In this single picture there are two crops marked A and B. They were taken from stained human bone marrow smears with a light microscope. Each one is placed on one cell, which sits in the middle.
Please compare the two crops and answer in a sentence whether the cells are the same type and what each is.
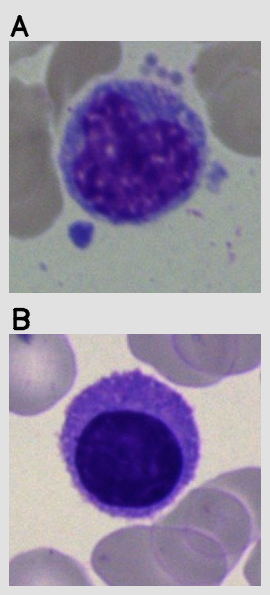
Yes, at the centre of both crops are monocytes.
